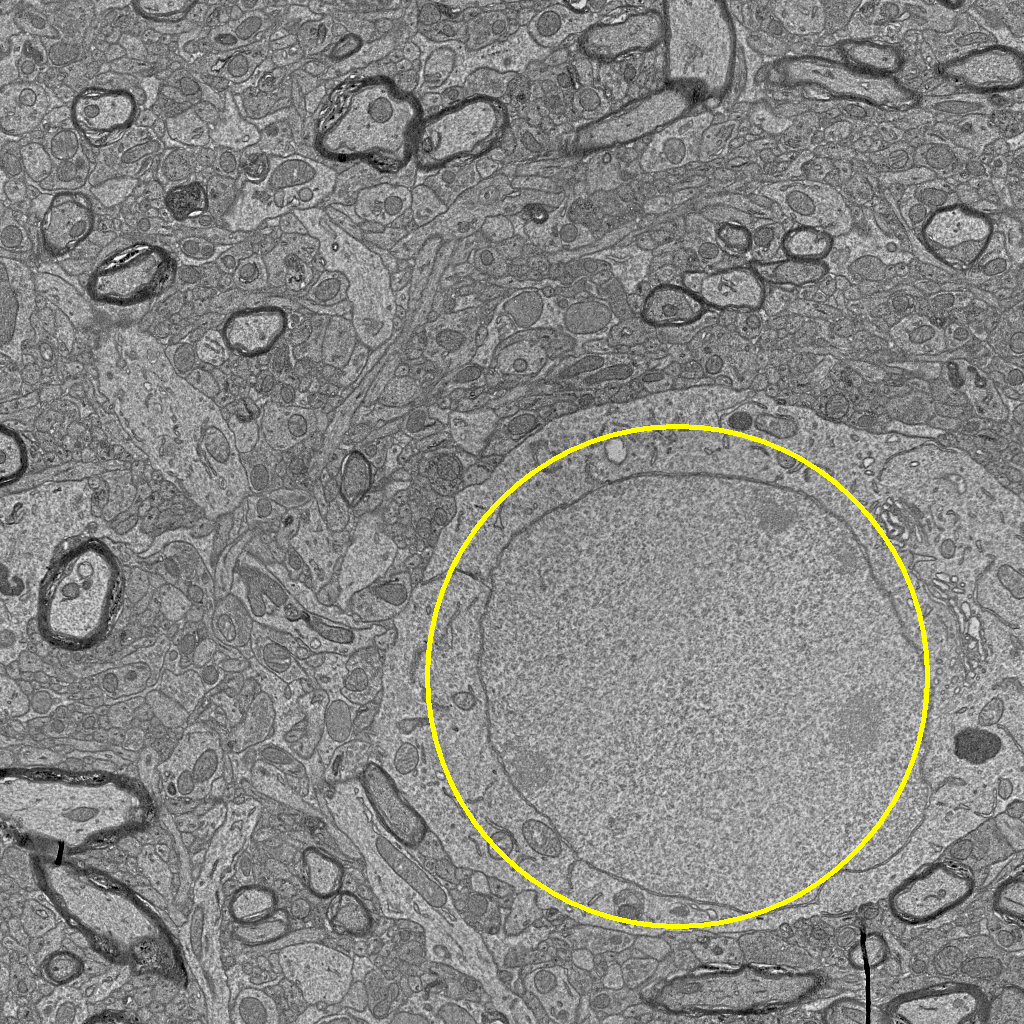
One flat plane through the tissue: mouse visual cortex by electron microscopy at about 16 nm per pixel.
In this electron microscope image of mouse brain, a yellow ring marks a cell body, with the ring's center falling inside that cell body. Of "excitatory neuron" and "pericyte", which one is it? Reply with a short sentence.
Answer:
It is an excitatory neuron at the center of the ring.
